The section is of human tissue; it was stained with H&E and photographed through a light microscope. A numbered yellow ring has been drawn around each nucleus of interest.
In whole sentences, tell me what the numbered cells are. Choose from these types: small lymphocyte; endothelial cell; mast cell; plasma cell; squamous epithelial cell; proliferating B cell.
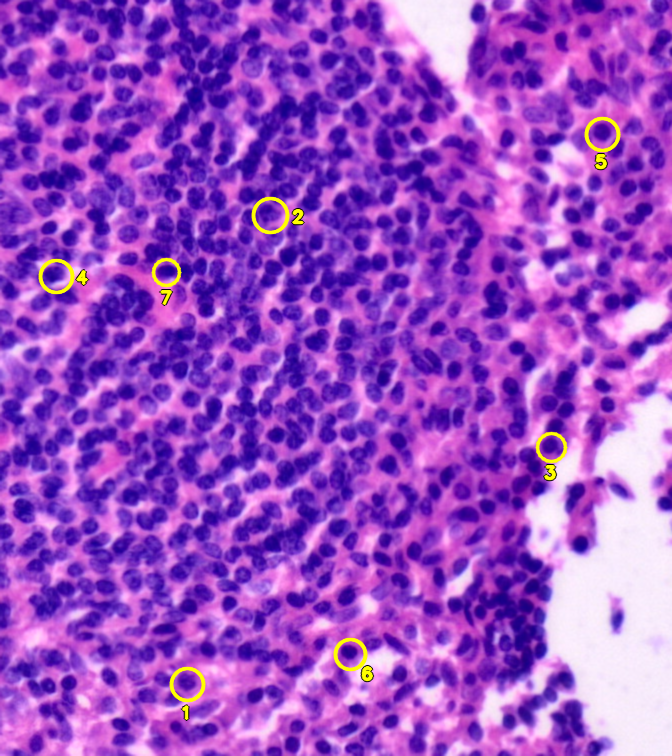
Cell 1 is a plasma cell, cell 2 is a small lymphocyte, cell 3 is a plasma cell, cell 4 is a small lymphocyte, cell 5 is a plasma cell, cell 6 is a plasma cell and cell 7 is a small lymphocyte.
